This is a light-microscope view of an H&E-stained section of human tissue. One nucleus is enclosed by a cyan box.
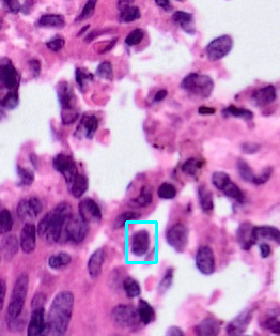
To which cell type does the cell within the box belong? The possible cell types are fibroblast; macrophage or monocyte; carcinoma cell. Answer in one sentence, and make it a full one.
In short, the cell within the box on this section is a carcinoma cell.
